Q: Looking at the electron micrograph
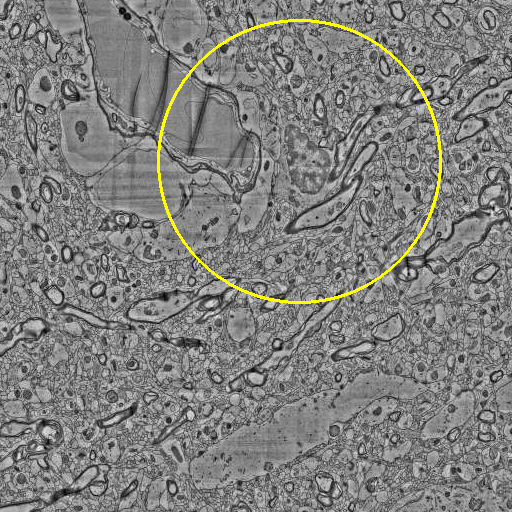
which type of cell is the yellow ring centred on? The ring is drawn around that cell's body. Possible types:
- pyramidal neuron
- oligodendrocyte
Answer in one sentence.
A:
The yellow ring is centred on an oligodendrocyte.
